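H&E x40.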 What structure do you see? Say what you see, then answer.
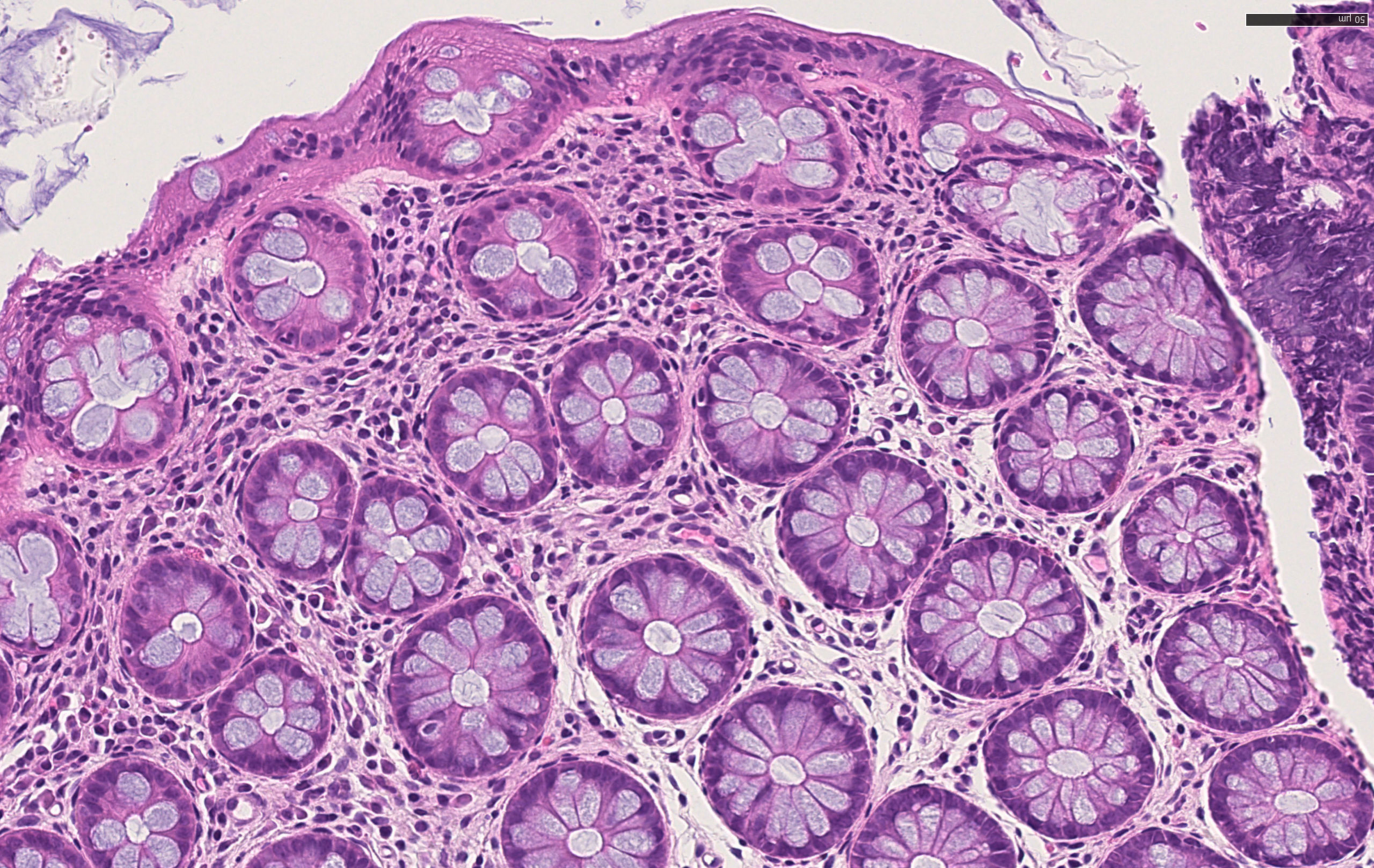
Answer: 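Many round, evenly spaced glands, each with a small central lumen. Each gland is lined by a single layer of columnar cells with basal nuclei and pale mucin vacuoles. The glands are of similar size and shape, without branching. The answer: crypts.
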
